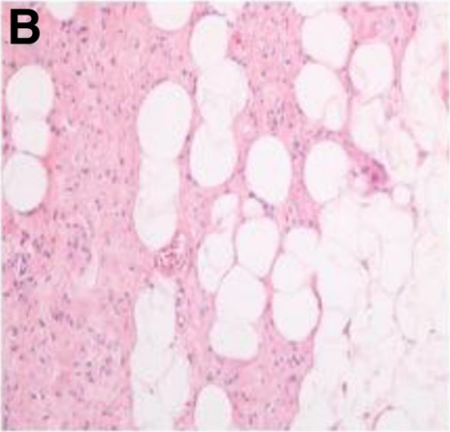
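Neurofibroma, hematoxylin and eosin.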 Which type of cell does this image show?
Adipocytes.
